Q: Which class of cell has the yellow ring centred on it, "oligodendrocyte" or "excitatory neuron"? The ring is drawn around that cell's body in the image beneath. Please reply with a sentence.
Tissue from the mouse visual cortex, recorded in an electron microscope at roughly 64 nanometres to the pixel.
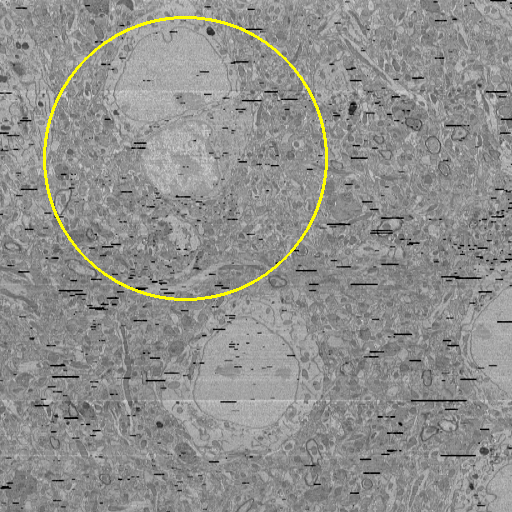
It is centred on an oligodendrocyte.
